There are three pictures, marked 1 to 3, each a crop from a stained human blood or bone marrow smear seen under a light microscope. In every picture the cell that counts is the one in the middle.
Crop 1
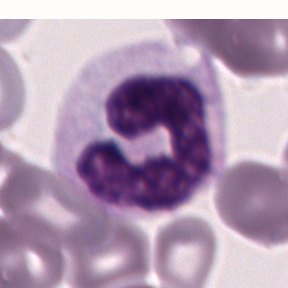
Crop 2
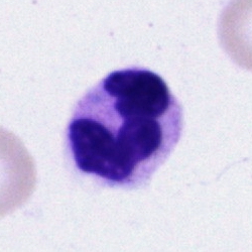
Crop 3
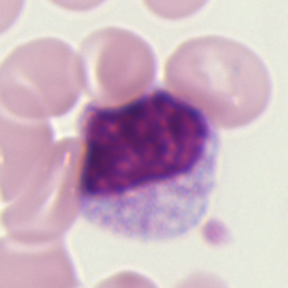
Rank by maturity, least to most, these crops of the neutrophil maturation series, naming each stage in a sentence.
The order from least to most mature is crop 3 (a metamyelocyte), crop 1 (a band neutrophil) and crop 2 (a segmented neutrophil).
